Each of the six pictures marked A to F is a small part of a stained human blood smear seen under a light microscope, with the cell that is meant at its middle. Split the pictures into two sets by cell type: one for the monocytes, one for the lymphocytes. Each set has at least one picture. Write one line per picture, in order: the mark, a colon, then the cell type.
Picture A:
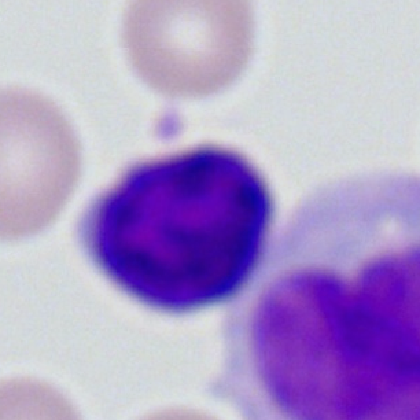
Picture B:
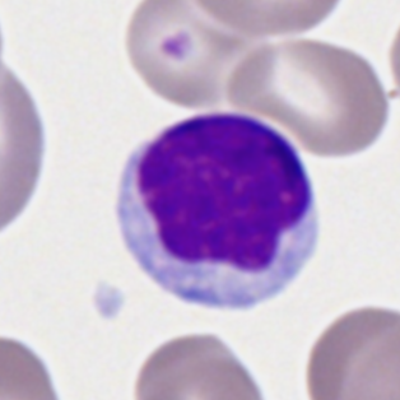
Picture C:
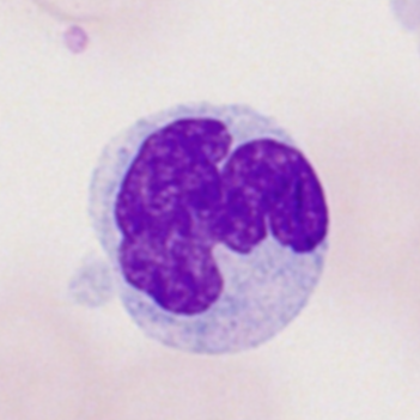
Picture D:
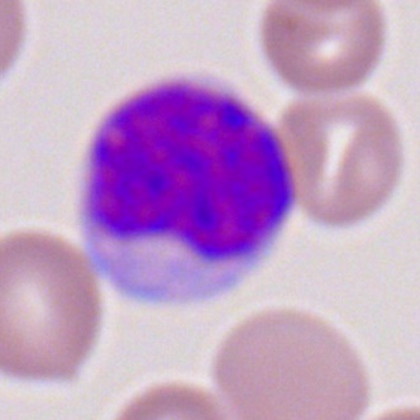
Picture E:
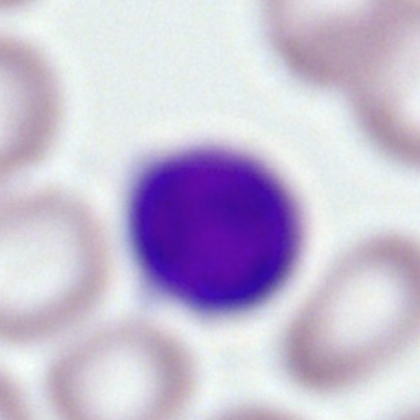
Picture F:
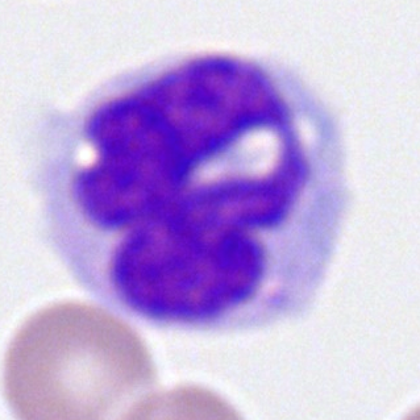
A: lymphocyte
B: lymphocyte
C: monocyte
D: lymphocyte
E: lymphocyte
F: monocyte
